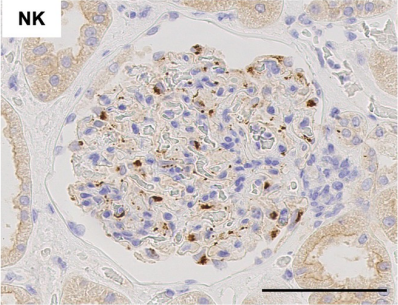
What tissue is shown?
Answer: glomeruli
